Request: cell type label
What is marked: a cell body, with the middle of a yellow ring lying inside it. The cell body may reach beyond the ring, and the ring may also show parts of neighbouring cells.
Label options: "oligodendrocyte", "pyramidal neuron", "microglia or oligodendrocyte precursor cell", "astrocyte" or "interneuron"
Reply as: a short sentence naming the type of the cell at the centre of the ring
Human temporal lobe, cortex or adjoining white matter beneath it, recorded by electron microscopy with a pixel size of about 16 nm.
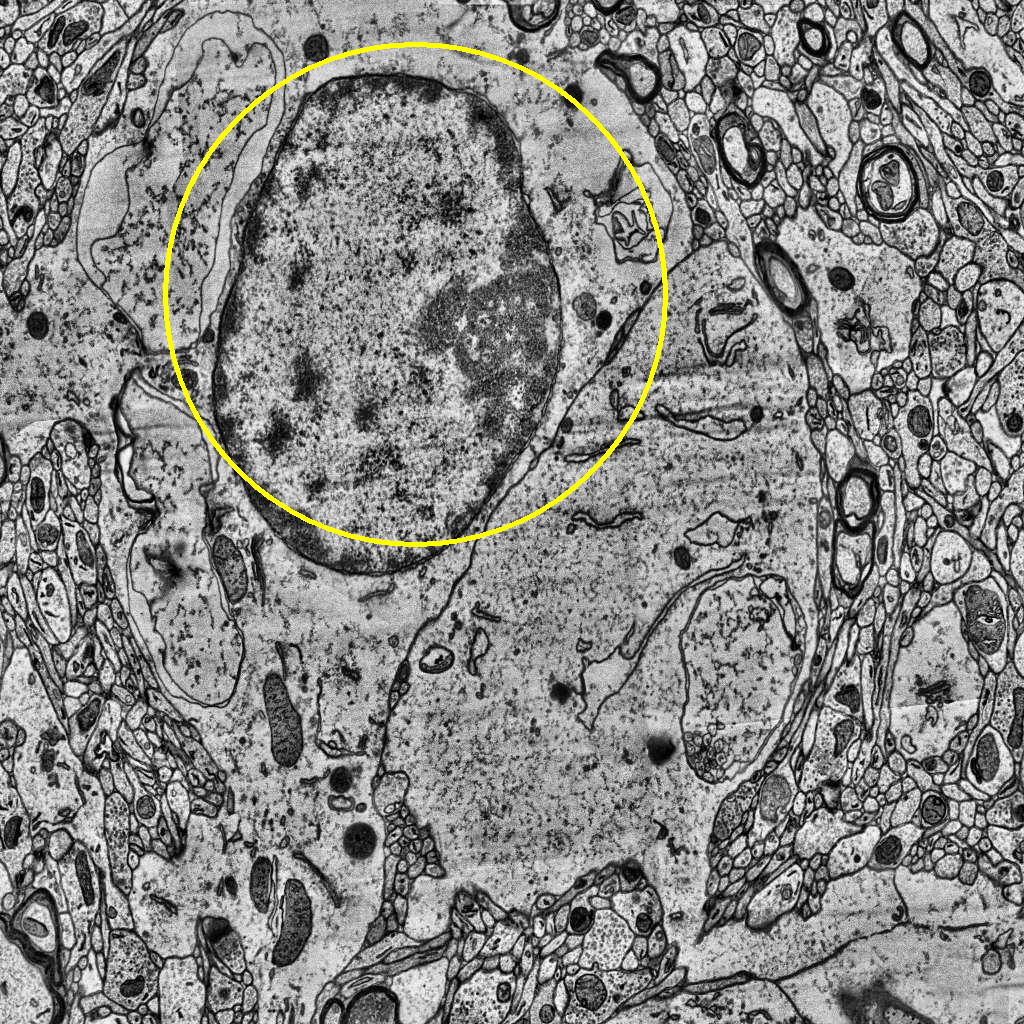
The marked cell body is that of an astrocyte.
